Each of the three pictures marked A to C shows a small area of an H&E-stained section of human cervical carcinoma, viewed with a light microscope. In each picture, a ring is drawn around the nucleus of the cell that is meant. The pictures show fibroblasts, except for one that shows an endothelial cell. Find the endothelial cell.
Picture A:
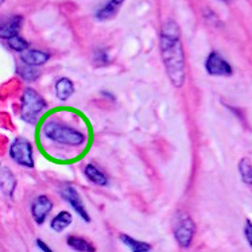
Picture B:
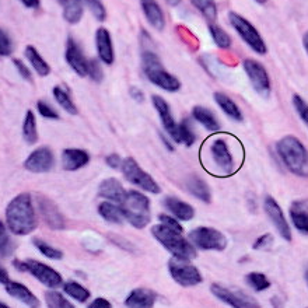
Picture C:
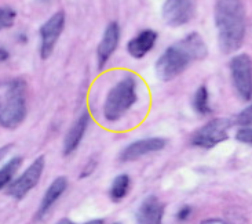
A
